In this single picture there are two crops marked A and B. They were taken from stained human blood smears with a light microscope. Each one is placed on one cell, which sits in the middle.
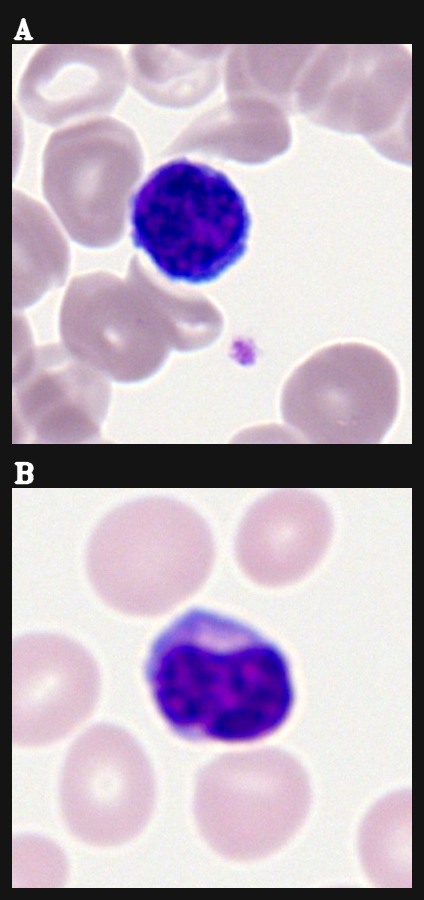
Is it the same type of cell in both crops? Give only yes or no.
yes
